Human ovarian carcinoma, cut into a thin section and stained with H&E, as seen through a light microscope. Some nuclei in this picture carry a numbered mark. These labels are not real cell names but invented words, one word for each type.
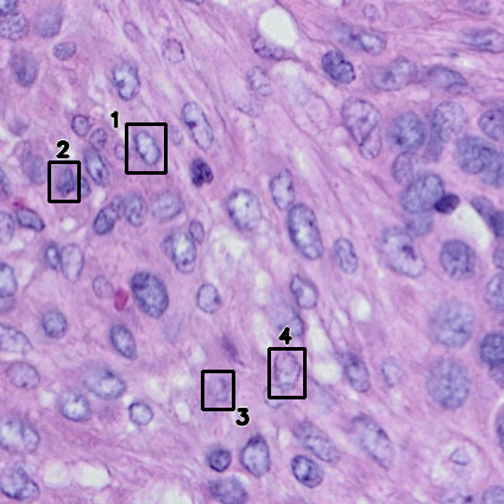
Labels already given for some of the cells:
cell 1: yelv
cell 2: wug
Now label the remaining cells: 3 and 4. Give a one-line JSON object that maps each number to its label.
{"3": "yelv", "4": "yelv"}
